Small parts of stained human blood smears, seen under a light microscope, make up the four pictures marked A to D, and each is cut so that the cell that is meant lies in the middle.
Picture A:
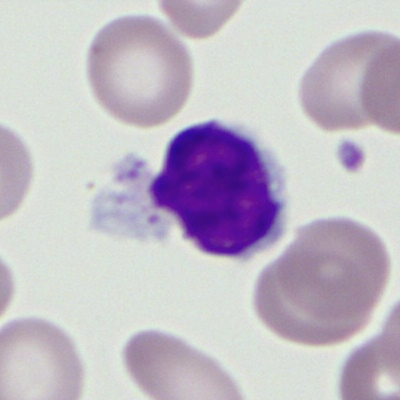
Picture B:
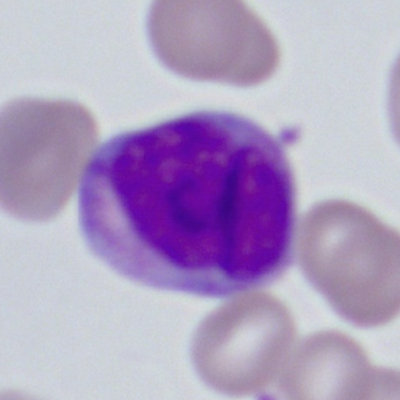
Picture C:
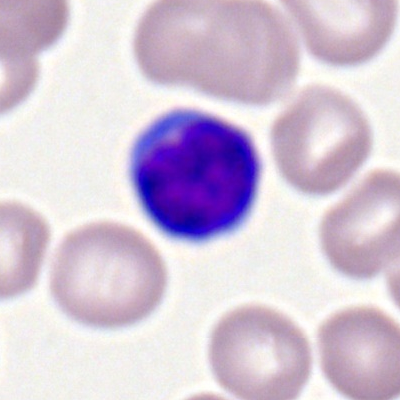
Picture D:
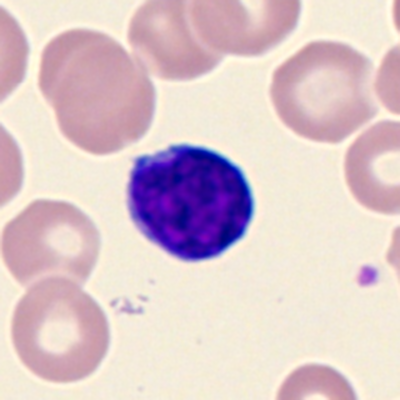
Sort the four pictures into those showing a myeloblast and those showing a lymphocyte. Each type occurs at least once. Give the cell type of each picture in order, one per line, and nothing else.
lymphocyte
myeloblast
lymphocyte
lymphocyte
